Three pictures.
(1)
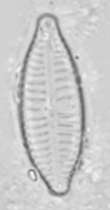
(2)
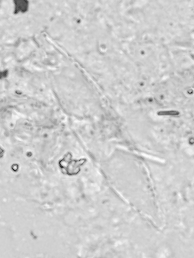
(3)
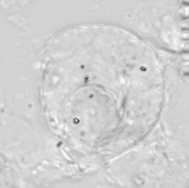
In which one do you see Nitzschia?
In picture 2.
